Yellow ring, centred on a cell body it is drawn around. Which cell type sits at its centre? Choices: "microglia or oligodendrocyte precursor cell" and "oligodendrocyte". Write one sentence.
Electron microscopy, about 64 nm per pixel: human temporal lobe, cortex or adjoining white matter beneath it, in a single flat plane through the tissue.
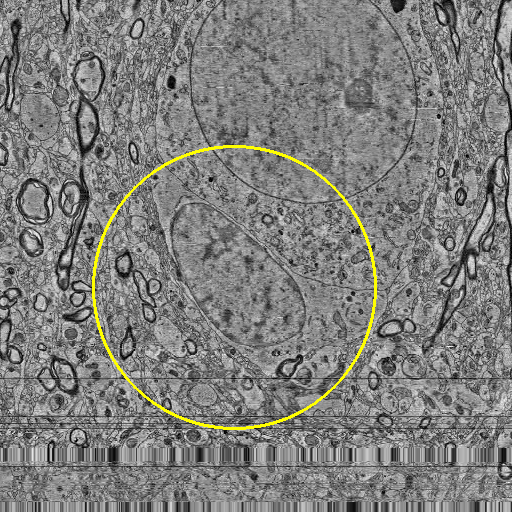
At the centre of the ring sits a microglial cell or oligodendrocyte precursor cell.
